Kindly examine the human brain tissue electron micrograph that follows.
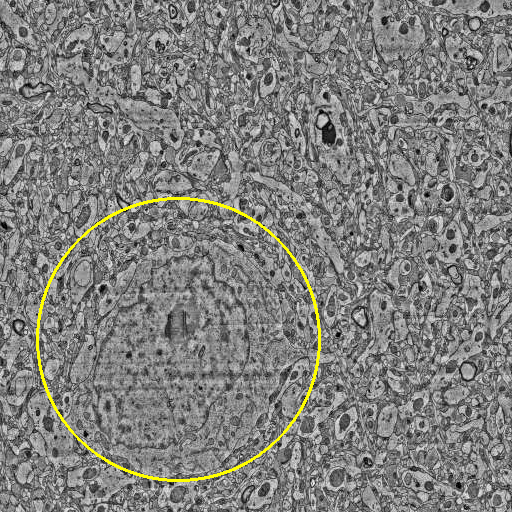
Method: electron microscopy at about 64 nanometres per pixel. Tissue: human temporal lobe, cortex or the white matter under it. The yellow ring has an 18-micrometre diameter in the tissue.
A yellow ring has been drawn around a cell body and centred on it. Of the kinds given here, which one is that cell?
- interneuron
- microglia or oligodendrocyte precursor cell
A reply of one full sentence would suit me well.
The micrograph's ringed cell, the one at the ring's centre, is an interneuron.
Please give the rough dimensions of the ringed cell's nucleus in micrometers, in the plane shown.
About 12 by 9 micrometers, in this plane.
